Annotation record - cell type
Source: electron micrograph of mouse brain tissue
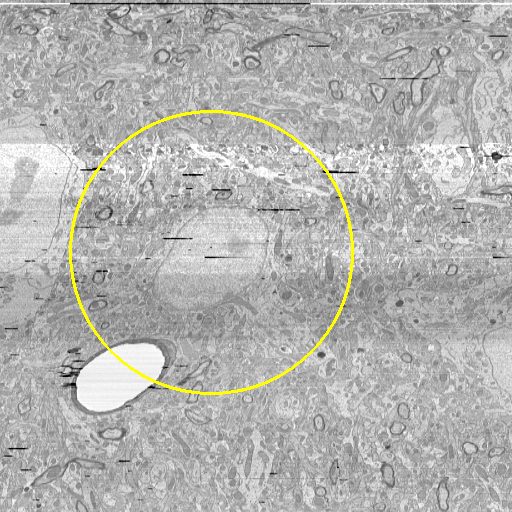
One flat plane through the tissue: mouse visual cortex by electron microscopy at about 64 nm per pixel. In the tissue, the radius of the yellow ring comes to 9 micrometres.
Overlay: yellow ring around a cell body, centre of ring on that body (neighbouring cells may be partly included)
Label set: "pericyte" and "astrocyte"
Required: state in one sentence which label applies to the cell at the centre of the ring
This cell should be labelled as an astrocyte.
